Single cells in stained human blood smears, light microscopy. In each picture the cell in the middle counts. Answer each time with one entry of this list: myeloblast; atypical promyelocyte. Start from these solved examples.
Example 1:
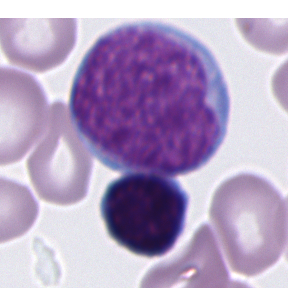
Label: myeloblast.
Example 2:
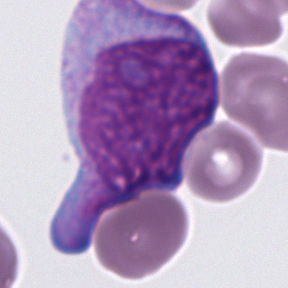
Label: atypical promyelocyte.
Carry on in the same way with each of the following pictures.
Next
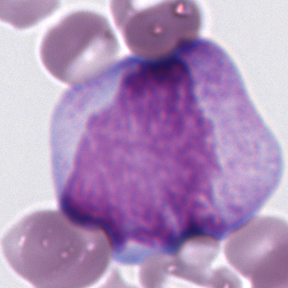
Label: atypical promyelocyte.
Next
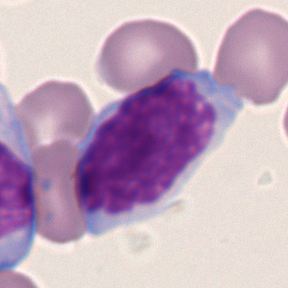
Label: myeloblast.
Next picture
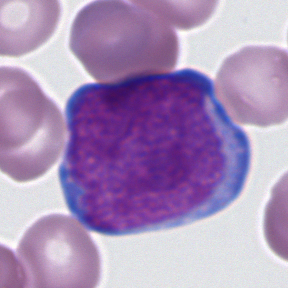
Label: myeloblast.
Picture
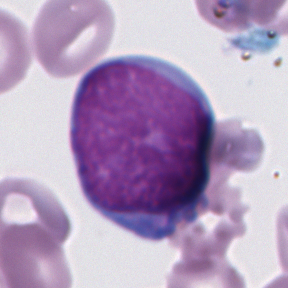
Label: myeloblast.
